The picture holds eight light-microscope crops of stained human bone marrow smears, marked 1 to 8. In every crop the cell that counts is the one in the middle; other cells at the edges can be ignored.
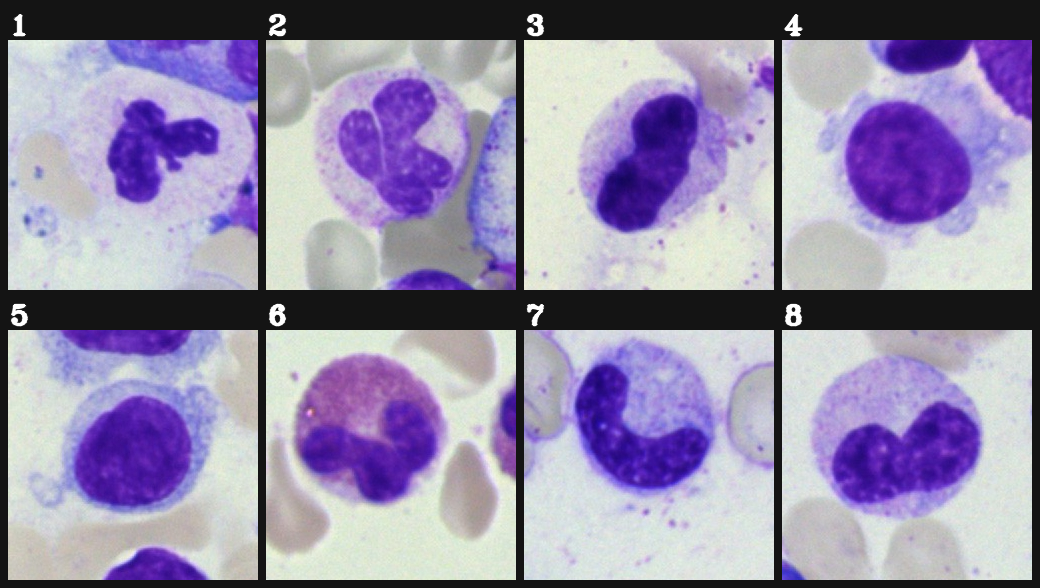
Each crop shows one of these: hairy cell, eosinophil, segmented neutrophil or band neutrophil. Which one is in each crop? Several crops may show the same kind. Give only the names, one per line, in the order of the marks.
segmented neutrophil
segmented neutrophil
band neutrophil
hairy cell
hairy cell
eosinophil
band neutrophil
band neutrophil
